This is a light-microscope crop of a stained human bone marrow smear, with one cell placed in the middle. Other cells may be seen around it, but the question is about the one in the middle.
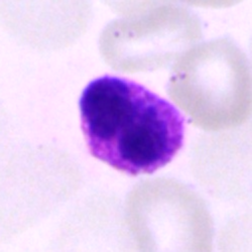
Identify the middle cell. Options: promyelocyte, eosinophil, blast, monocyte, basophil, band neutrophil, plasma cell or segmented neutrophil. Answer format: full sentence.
Centrally within this crop lies a basophil.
